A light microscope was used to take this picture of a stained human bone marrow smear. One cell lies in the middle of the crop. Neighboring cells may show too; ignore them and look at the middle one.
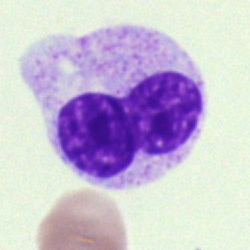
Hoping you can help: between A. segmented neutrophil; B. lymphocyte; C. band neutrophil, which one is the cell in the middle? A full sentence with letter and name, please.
Option C is correct, and the cell in the centre is a band neutrophil.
